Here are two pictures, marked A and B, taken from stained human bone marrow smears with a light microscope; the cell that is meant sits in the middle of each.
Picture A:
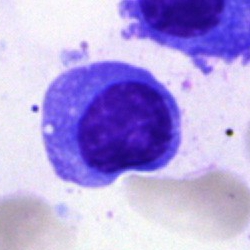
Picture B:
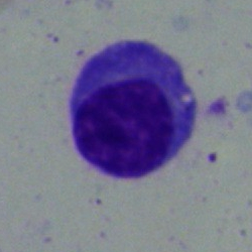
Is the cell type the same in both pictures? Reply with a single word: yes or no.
yes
